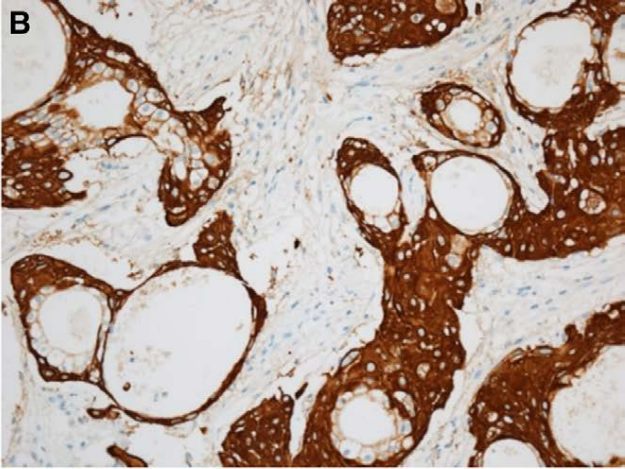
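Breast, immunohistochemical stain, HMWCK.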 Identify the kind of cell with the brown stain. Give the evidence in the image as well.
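Brown stain fills the cytoplasm of the polygonal cells forming the solid nests. The stained cells surround the cystic spaces.
Answer: epidermoid cells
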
